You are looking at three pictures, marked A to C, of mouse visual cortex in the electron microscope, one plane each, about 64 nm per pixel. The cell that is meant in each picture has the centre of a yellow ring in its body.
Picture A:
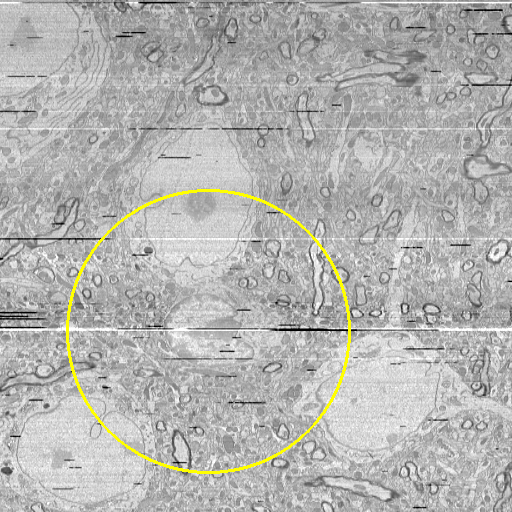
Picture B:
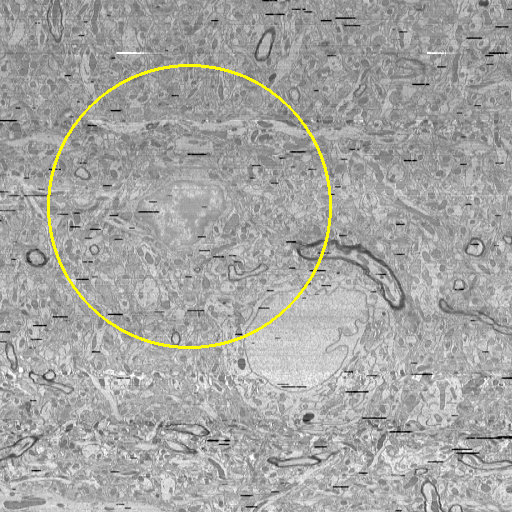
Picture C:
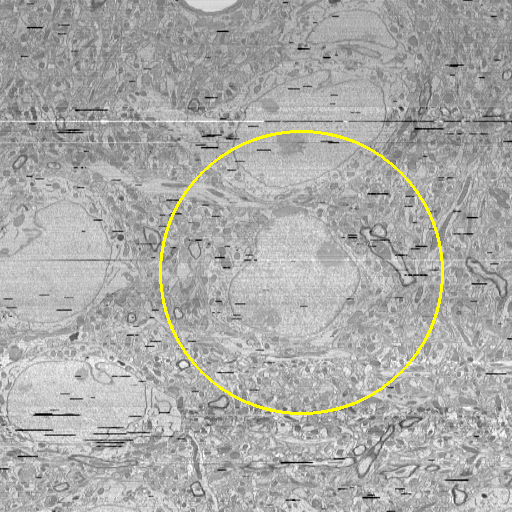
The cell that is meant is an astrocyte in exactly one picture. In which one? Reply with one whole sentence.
The cell in picture C is the astrocyte.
